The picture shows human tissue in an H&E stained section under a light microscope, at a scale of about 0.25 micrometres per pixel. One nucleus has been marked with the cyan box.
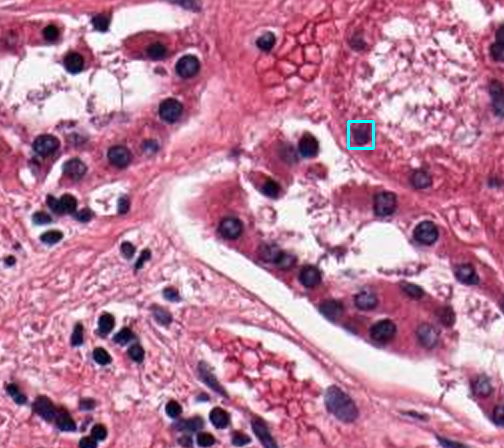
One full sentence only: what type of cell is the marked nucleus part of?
In this section, the marked nucleus is that of a proximal tubule cell.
